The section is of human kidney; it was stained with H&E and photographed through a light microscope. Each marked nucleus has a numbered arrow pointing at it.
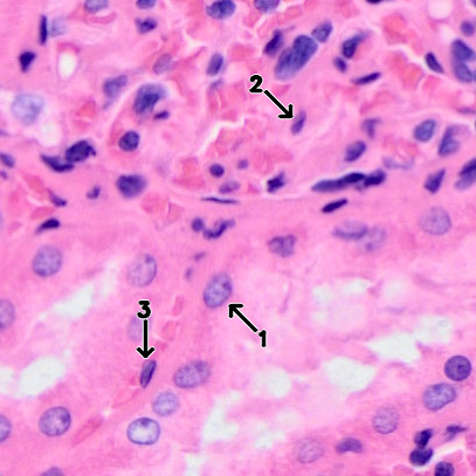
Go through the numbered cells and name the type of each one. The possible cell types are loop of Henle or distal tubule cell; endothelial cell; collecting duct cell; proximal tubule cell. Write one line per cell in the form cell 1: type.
cell 1: proximal tubule cell
cell 2: endothelial cell
cell 3: endothelial cell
